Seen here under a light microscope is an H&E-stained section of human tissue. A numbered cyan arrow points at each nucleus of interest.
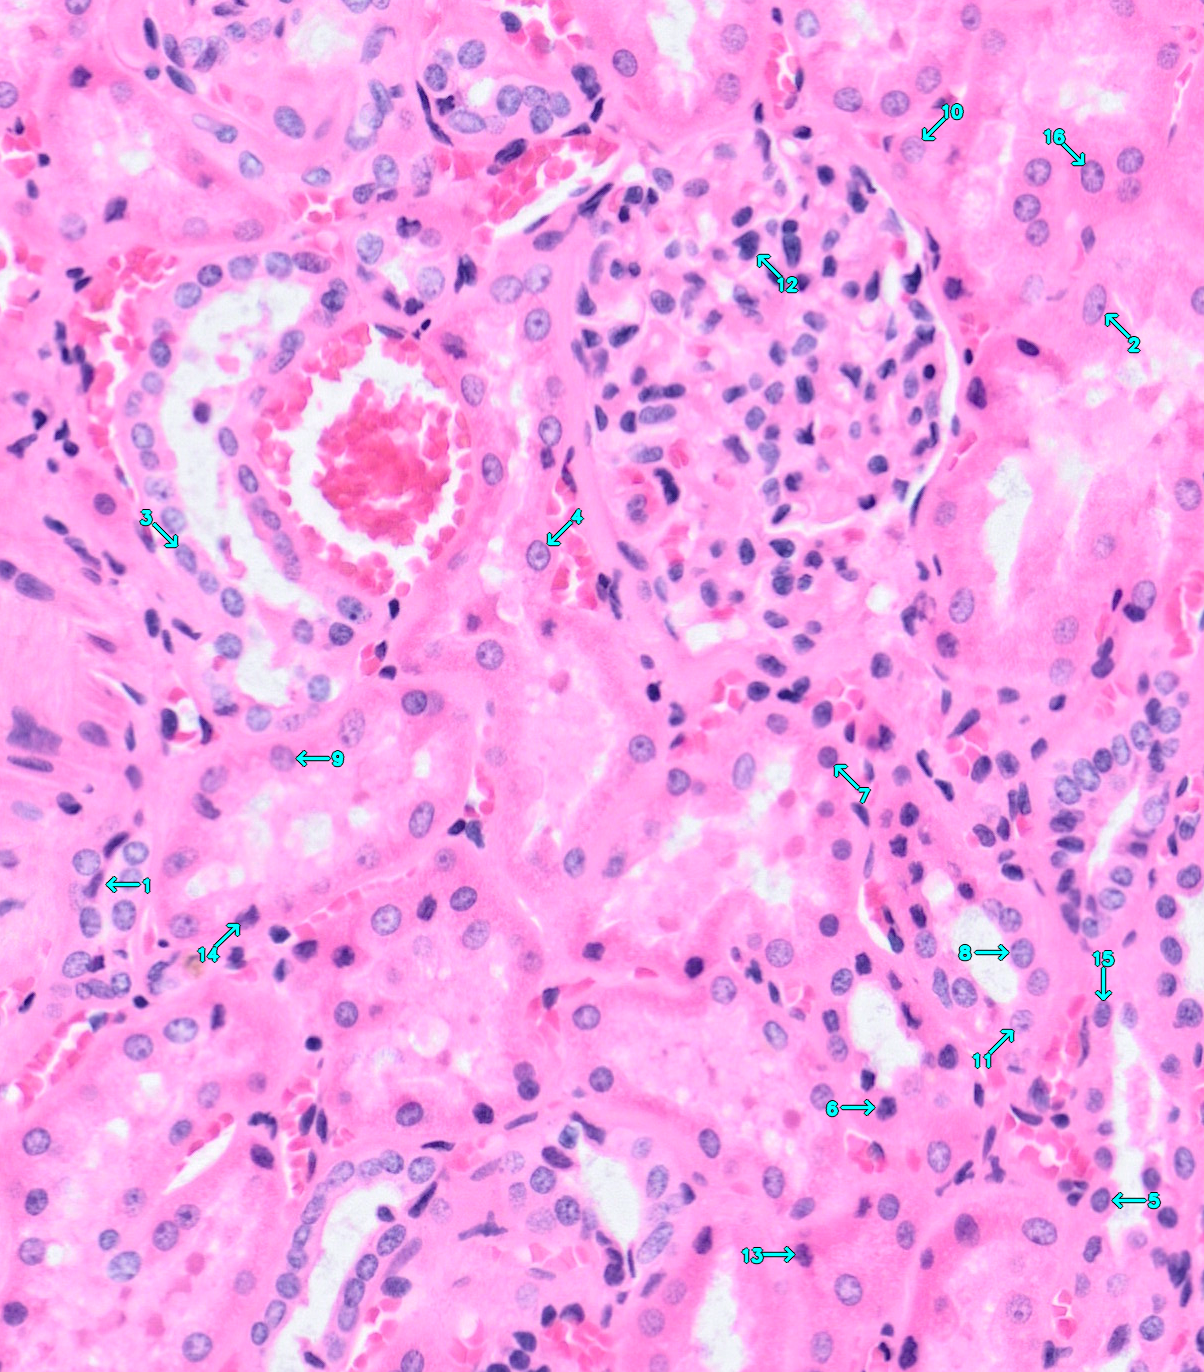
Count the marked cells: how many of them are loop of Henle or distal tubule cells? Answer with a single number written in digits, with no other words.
5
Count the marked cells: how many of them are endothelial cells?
1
